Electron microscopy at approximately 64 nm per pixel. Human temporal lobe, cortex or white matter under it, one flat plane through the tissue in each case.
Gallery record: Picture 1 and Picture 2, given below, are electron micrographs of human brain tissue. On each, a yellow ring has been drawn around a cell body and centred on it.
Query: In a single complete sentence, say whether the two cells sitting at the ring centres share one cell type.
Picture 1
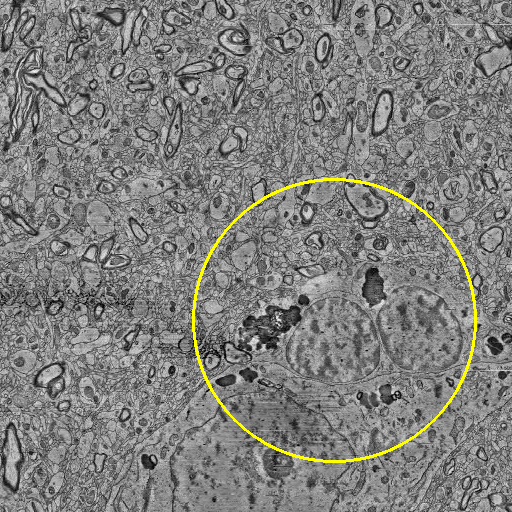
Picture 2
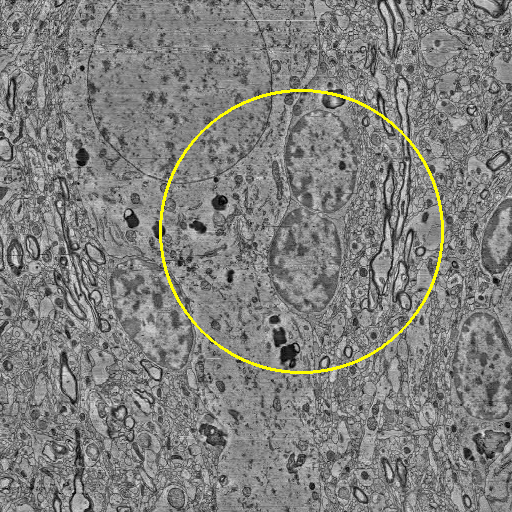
Yes, in both pictures the cell at the ring's centre is of one and the same type.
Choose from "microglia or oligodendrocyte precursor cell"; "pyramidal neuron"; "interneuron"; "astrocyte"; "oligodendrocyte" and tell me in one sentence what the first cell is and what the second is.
In the first picture and in the second, the ring is centred on an oligodendrocyte.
